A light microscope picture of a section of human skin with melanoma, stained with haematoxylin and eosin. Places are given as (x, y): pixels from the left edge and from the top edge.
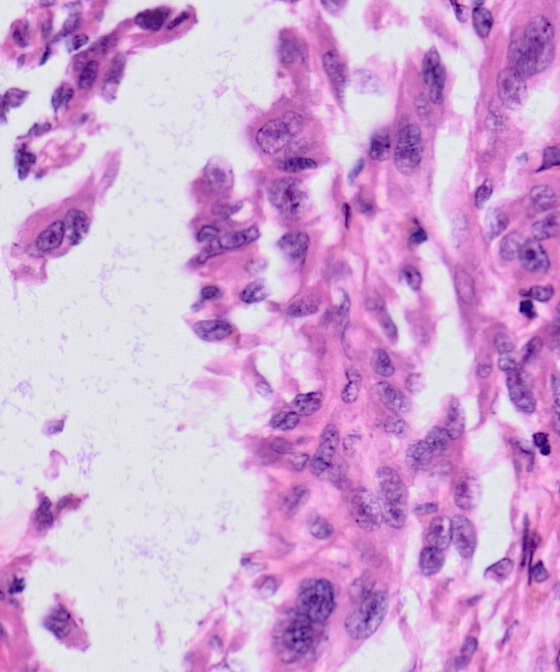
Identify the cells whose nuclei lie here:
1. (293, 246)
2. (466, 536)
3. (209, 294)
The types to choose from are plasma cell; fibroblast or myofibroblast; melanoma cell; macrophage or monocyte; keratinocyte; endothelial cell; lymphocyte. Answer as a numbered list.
1. melanoma cell
2. melanoma cell
3. macrophage or monocyte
